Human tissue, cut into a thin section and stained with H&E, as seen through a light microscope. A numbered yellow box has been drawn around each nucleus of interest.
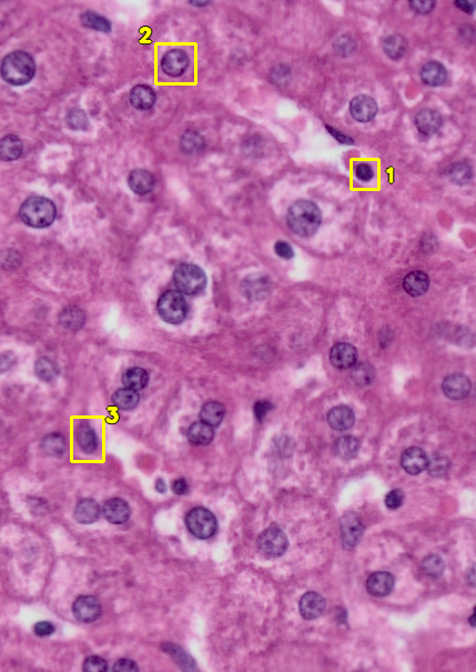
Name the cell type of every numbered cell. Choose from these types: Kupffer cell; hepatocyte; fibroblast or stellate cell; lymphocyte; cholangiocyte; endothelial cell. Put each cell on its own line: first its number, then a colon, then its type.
1: lymphocyte
2: hepatocyte
3: Kupffer cell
